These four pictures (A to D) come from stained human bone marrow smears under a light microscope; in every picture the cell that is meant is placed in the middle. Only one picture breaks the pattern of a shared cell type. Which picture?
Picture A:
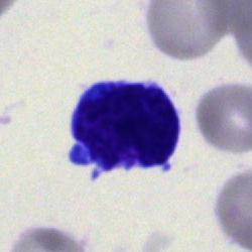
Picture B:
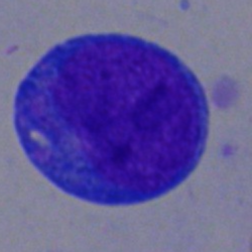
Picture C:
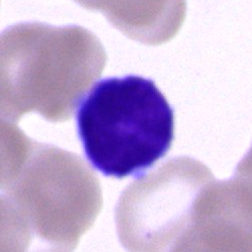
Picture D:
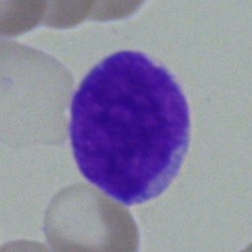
C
